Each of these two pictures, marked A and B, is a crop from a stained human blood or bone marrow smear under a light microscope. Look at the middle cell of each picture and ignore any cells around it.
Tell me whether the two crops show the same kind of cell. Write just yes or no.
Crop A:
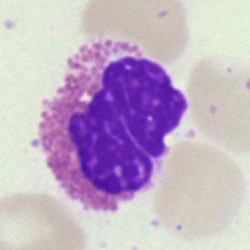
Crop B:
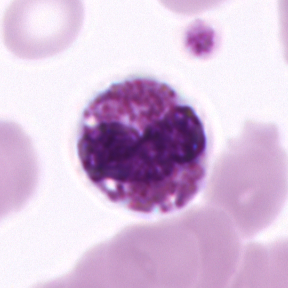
yes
